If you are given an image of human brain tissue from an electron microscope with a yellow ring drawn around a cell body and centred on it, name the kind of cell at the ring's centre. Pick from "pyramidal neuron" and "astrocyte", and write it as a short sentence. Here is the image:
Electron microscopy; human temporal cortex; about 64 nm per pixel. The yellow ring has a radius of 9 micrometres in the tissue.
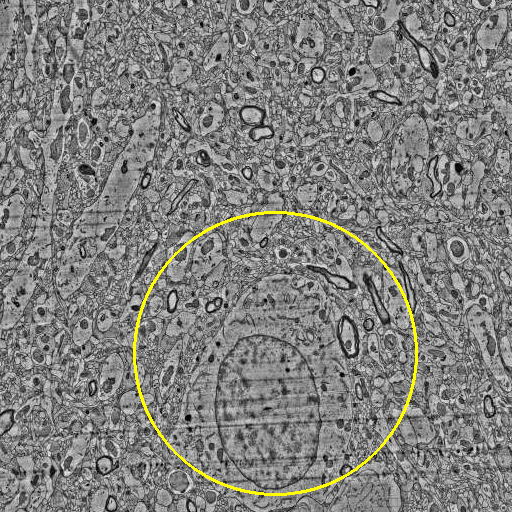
The cell at the ring's centre is a pyramidal neuron.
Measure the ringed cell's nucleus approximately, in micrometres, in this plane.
The nucleus of the ringed cell is approximately 10 by 7 micrometres in this plane.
